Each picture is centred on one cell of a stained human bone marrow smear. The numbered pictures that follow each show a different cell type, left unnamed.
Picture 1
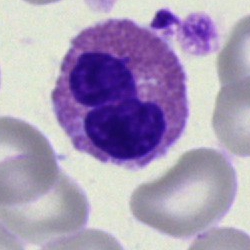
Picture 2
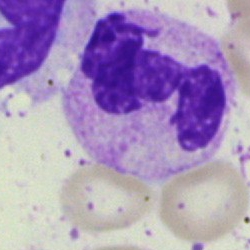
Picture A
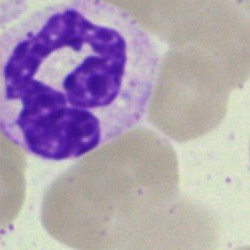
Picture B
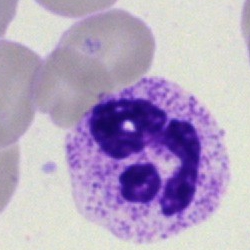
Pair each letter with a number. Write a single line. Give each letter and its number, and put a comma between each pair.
A 2, B 2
